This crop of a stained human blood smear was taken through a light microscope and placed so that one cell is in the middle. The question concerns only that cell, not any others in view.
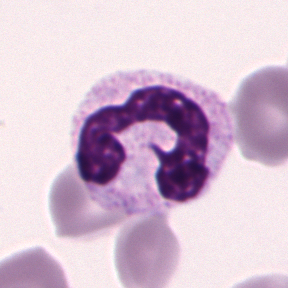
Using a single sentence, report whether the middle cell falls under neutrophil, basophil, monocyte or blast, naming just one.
At the center of the crop sits a neutrophil.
